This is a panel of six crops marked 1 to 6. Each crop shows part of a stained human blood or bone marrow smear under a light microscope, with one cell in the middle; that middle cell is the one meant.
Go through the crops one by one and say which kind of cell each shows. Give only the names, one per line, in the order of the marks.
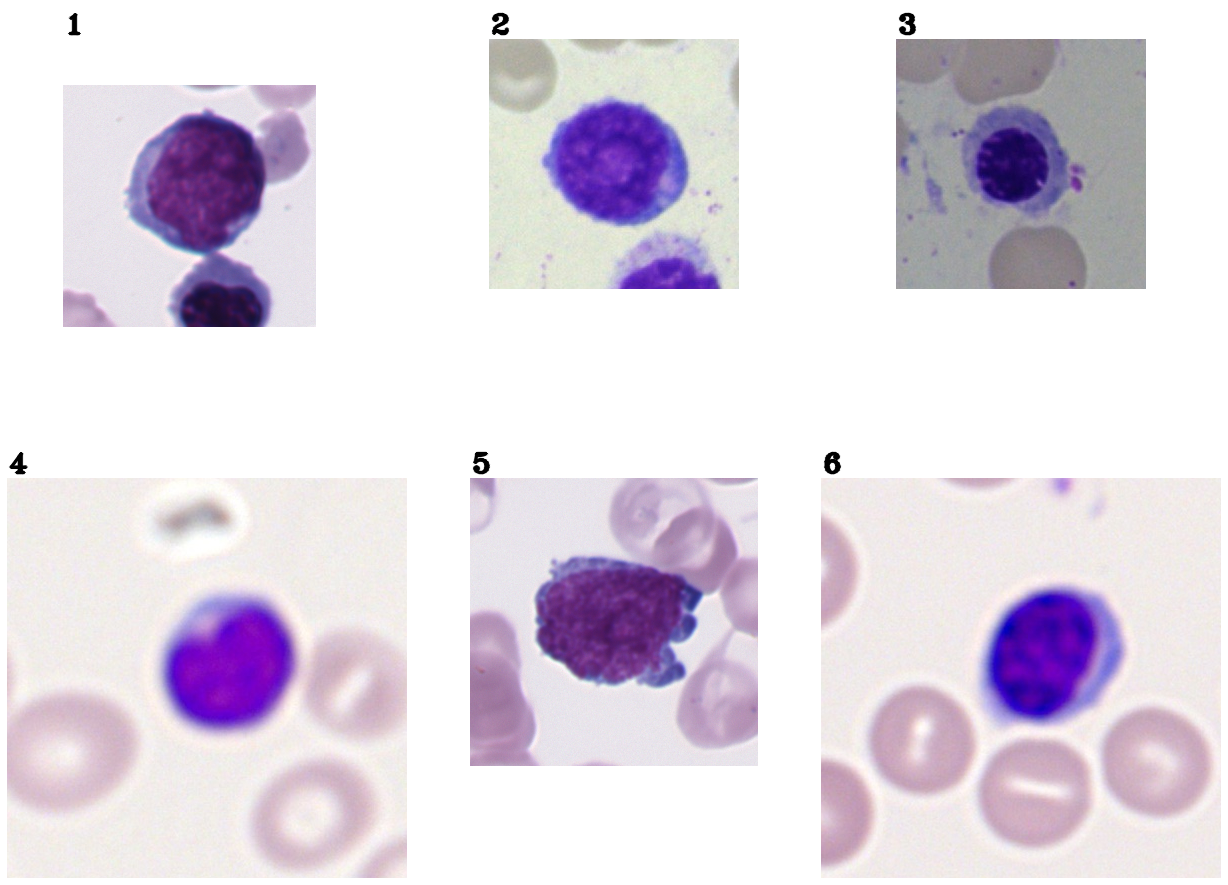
blast
blast
normoblast
lymphocyte
blast
lymphocyte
